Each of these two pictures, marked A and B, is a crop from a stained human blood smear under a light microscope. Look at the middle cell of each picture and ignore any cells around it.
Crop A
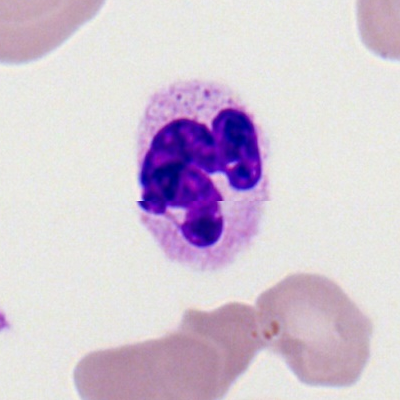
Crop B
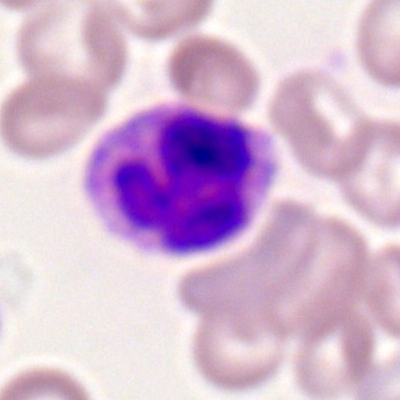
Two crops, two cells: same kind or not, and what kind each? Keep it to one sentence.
No, crop A shows a segmented neutrophil, and the cell in crop B is a basophil.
